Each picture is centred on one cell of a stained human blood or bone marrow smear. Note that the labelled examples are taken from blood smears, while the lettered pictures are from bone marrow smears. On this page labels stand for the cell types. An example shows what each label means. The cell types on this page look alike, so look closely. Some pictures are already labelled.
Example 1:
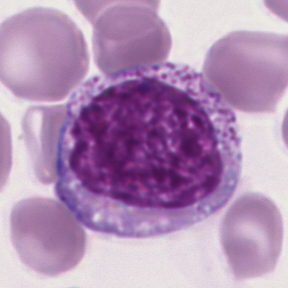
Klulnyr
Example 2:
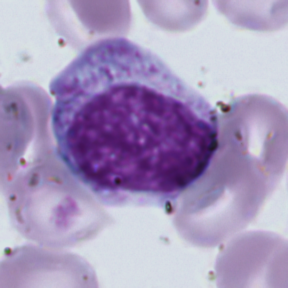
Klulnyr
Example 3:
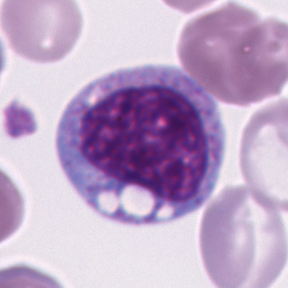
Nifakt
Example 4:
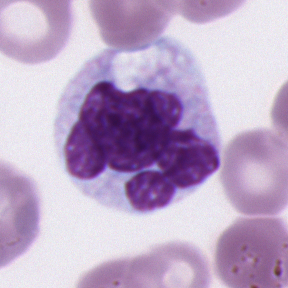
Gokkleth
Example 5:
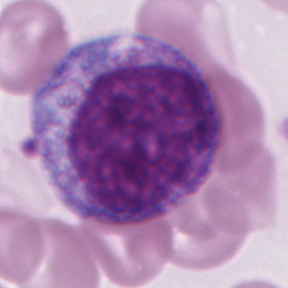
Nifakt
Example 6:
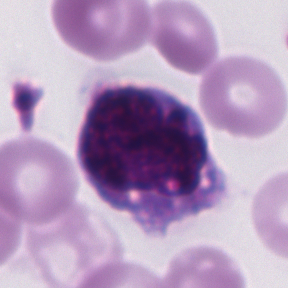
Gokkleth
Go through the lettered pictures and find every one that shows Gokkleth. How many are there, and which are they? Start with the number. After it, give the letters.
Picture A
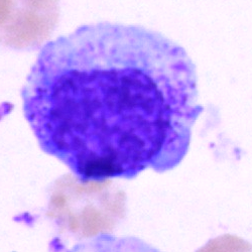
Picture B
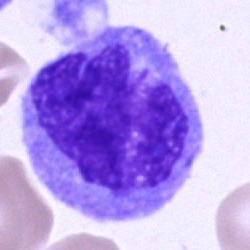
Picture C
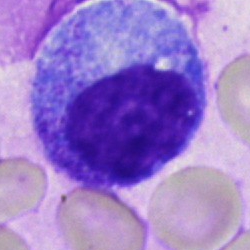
1: B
